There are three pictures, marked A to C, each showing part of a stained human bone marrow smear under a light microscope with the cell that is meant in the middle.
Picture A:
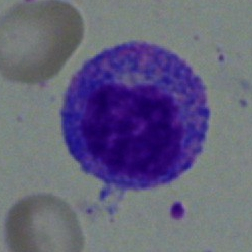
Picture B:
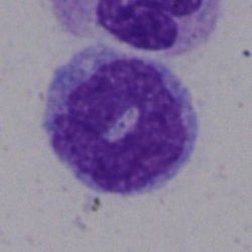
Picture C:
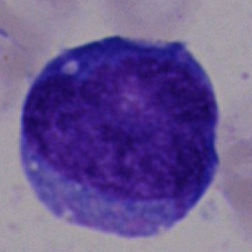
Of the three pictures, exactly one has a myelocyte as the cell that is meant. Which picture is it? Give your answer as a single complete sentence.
Picture A shows the myelocyte.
